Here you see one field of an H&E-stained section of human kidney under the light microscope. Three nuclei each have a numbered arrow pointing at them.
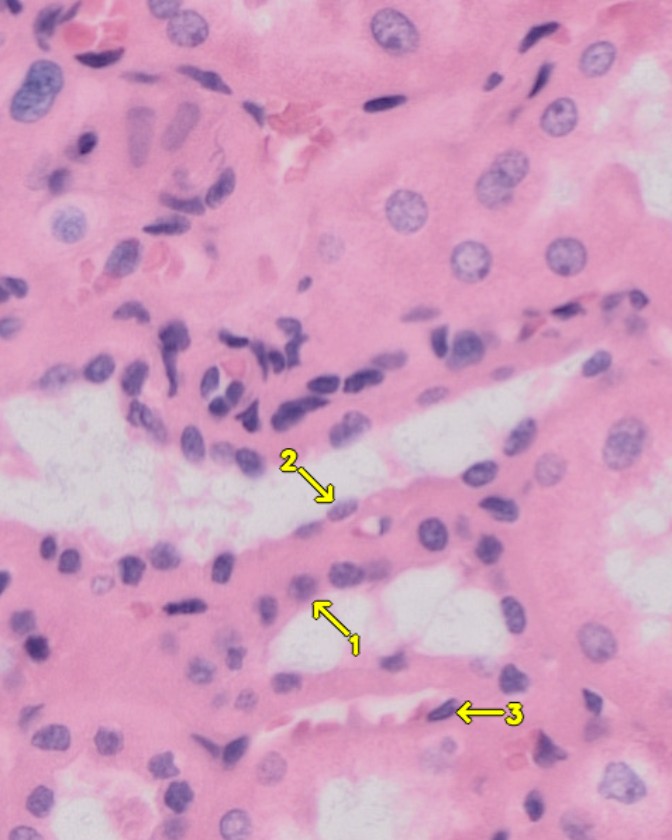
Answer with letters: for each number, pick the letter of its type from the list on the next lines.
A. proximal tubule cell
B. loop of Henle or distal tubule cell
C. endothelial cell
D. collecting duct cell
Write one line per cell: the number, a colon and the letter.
1: B
2: B
3: C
